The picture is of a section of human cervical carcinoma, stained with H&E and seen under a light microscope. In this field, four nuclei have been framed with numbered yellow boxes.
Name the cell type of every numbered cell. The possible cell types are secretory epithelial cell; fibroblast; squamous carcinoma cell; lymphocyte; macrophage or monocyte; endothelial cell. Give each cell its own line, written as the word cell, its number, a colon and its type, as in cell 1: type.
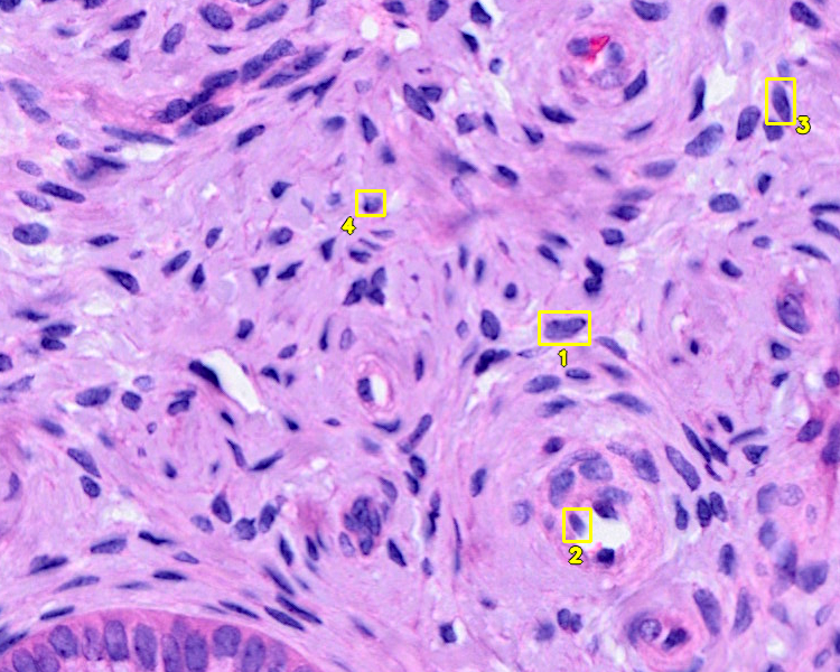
cell 1: fibroblast
cell 2: endothelial cell
cell 3: fibroblast
cell 4: fibroblast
